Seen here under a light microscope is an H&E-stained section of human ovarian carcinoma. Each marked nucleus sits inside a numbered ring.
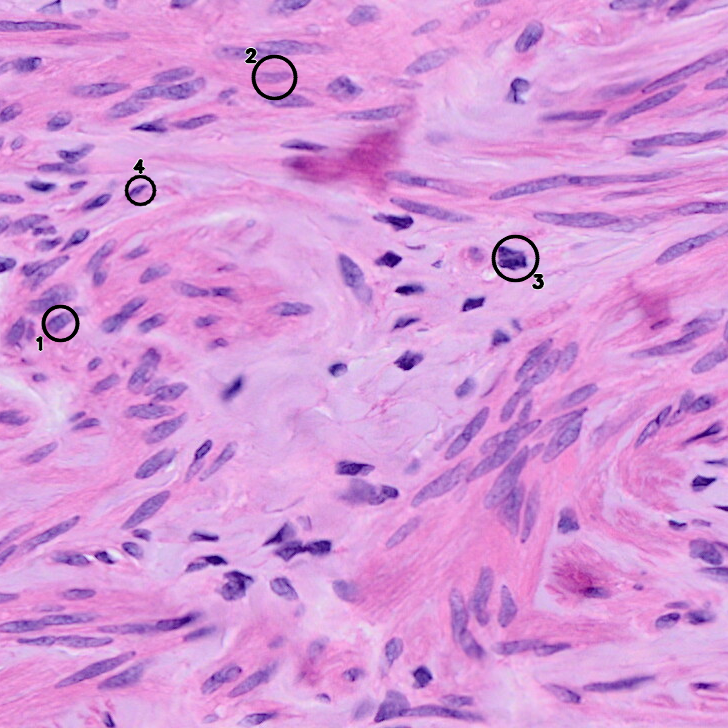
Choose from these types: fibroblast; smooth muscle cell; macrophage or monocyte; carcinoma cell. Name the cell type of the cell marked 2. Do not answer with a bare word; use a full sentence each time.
The cell carrying label 2 is identified as a smooth muscle cell.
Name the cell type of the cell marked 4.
In the marked set, the cell given number 4 is a smooth muscle cell.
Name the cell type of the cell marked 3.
The marked cell bearing number 3 is a fibroblast.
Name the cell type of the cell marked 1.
Heads up, the cell numbered 1 is a smooth muscle cell.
